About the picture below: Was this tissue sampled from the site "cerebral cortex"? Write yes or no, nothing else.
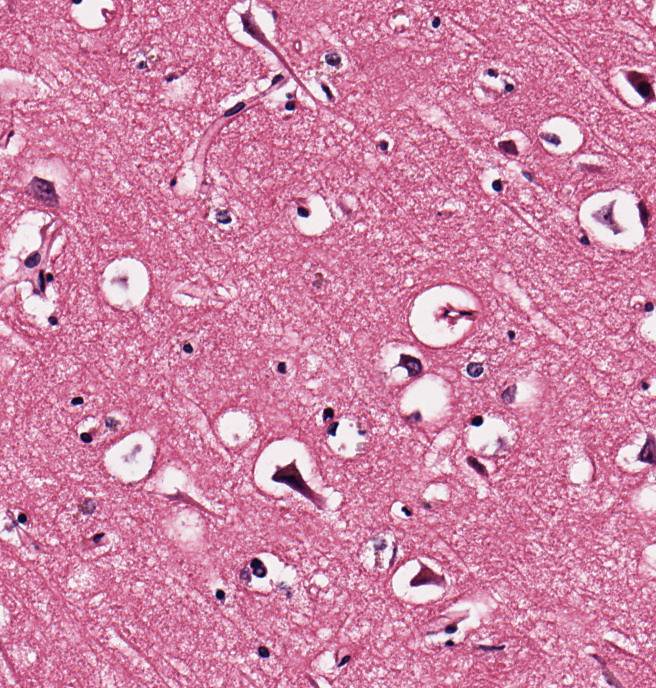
yes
